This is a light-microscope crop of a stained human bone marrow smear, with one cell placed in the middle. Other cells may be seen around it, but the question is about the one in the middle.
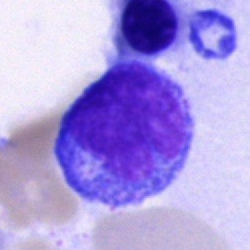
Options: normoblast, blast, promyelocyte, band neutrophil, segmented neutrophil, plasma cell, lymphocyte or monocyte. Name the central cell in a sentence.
To answer, the cell in the center of the crop is a monocyte.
